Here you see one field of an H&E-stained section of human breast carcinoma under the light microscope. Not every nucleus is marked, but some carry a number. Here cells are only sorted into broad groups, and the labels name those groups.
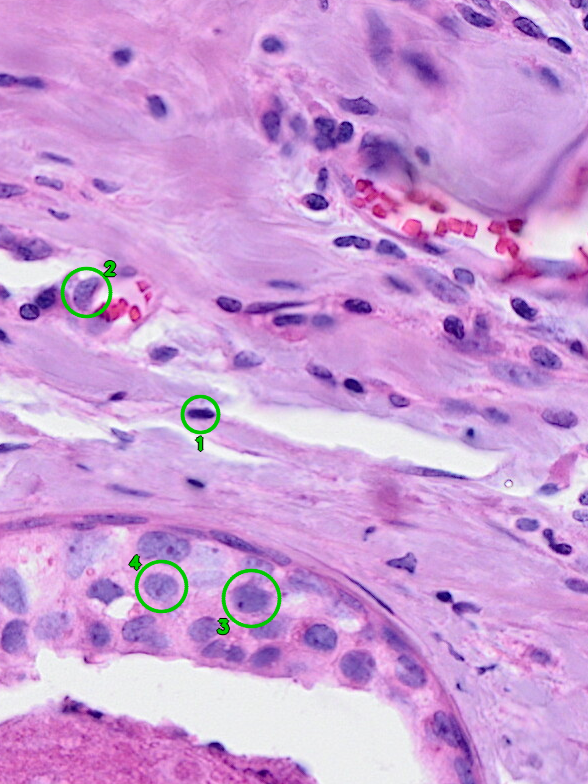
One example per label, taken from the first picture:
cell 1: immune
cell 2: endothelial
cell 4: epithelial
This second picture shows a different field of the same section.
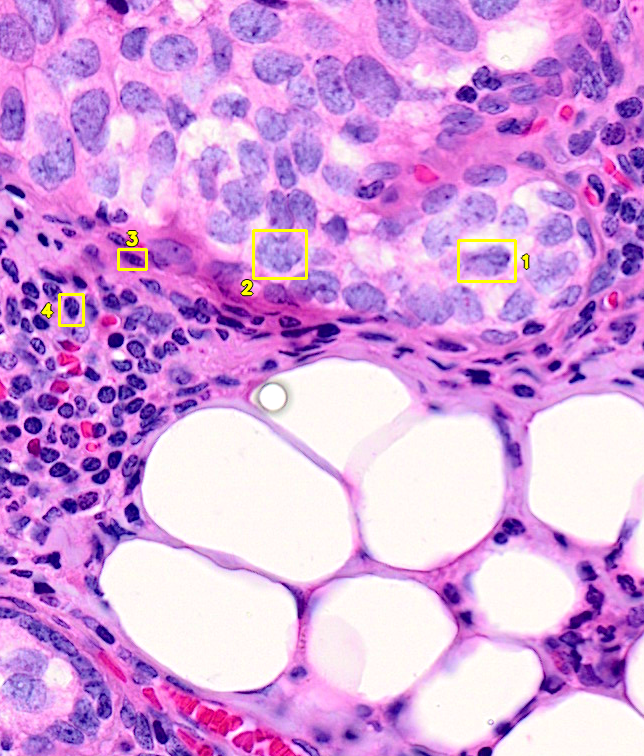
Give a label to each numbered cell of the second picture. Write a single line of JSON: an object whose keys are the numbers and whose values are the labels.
{"1": "epithelial", "2": "epithelial", "3": "endothelial", "4": "immune"}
